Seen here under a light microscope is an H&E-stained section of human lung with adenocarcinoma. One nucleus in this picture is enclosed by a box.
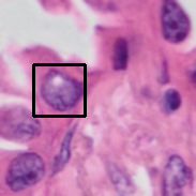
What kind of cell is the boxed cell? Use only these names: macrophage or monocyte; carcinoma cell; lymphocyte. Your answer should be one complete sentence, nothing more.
Within this tissue, the boxed cell is a carcinoma cell.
